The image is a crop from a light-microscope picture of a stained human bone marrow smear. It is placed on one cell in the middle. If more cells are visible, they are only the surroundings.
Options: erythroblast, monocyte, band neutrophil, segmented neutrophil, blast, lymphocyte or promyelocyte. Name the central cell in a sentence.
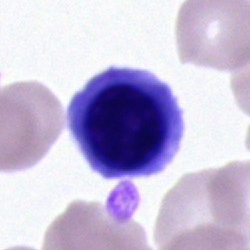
The cell centered in this field of view is an erythroblast.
